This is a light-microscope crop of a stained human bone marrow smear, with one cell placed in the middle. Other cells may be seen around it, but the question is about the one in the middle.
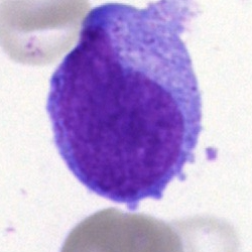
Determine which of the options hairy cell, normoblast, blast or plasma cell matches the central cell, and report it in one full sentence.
The cell of interest, located centrally, is a blast.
